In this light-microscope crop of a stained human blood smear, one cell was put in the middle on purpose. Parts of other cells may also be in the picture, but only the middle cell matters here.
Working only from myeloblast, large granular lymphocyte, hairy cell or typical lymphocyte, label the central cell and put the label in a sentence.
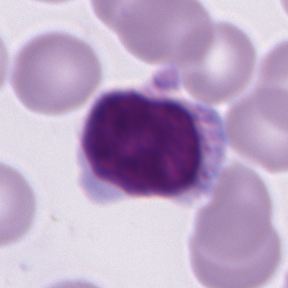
Here the cell in the middle is a typical lymphocyte.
